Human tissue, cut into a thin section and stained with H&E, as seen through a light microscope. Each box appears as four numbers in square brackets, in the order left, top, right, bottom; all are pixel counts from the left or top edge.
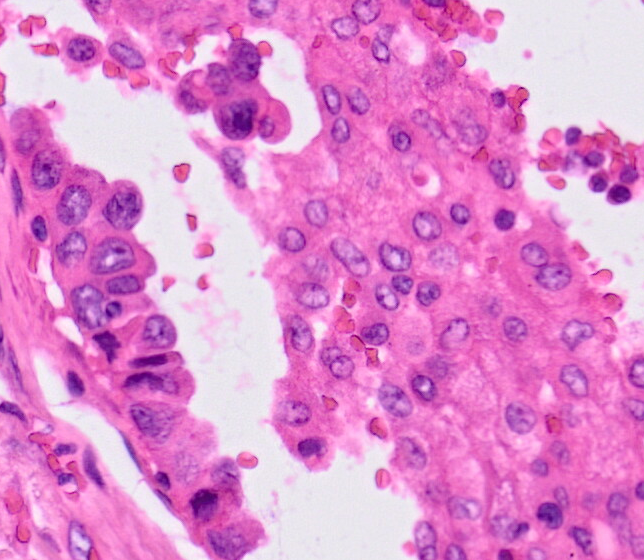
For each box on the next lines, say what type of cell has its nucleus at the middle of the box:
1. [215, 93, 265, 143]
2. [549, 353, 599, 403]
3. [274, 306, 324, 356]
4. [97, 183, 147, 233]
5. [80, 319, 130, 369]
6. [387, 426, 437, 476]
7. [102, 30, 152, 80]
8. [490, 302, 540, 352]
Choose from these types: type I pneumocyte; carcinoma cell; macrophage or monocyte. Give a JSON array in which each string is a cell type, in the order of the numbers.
["carcinoma cell", "macrophage or monocyte", "macrophage or monocyte", "carcinoma cell", "carcinoma cell", "macrophage or monocyte", "macrophage or monocyte", "macrophage or monocyte"]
